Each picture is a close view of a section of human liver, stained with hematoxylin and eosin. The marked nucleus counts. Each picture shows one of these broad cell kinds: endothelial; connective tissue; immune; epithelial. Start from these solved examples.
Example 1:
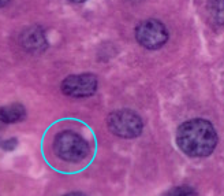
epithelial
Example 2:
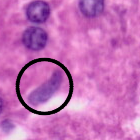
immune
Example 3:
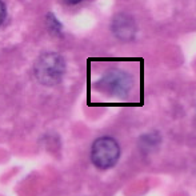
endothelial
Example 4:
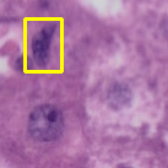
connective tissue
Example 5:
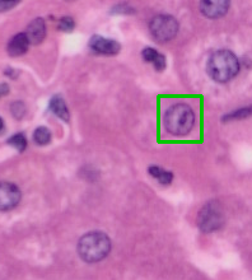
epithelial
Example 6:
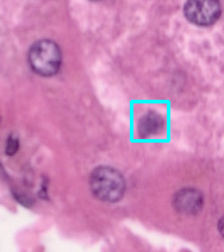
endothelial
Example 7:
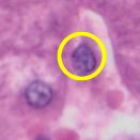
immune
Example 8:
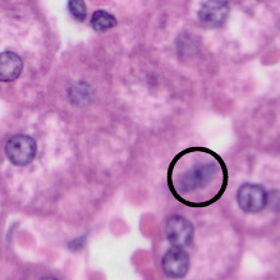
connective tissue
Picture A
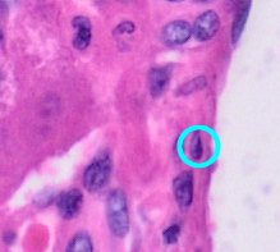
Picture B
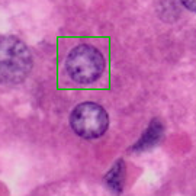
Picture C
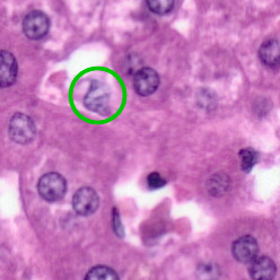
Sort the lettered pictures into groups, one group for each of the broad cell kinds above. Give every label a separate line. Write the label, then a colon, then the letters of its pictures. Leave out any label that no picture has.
connective tissue: A
immune: C
epithelial: B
